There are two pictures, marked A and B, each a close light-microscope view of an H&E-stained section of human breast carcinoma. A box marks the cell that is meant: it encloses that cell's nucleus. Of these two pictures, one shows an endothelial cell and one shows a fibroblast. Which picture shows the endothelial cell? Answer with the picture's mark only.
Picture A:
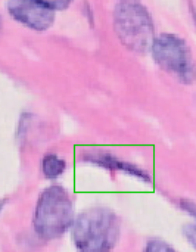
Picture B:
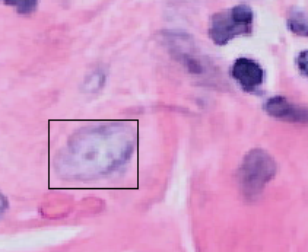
B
